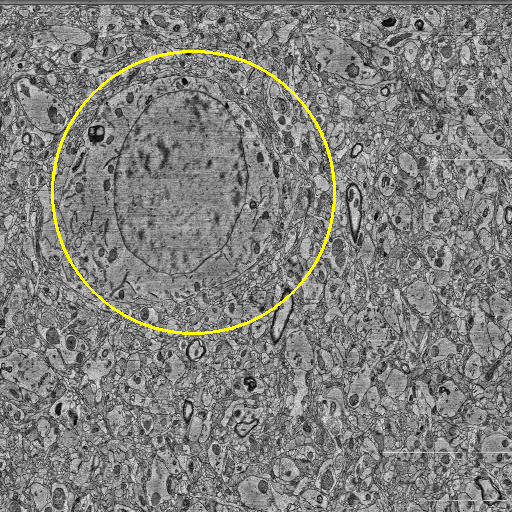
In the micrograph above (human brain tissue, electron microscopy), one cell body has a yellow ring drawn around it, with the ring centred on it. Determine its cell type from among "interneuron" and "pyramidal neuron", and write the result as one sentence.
The cell whose body is ringed is a pyramidal neuron.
